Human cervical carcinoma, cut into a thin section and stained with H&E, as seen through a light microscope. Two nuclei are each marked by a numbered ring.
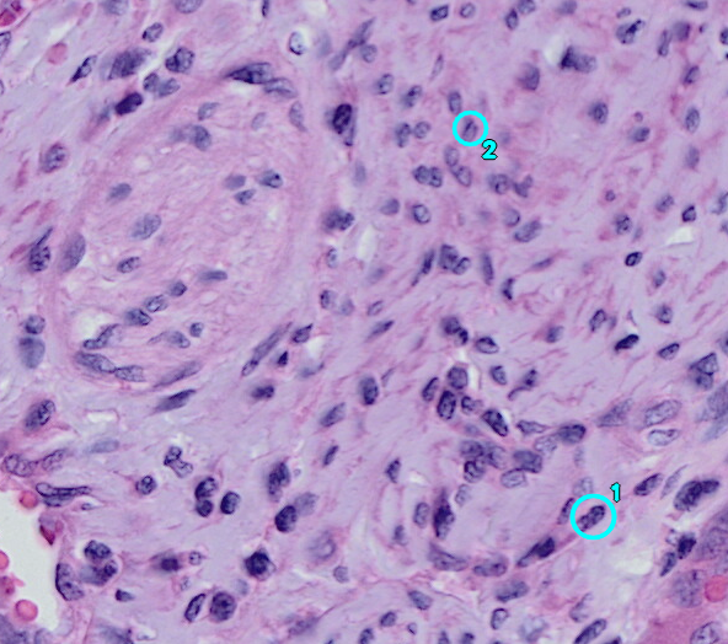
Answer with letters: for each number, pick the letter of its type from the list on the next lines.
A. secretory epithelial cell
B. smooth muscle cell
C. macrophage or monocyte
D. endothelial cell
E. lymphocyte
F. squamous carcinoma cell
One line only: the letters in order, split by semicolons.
E; B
